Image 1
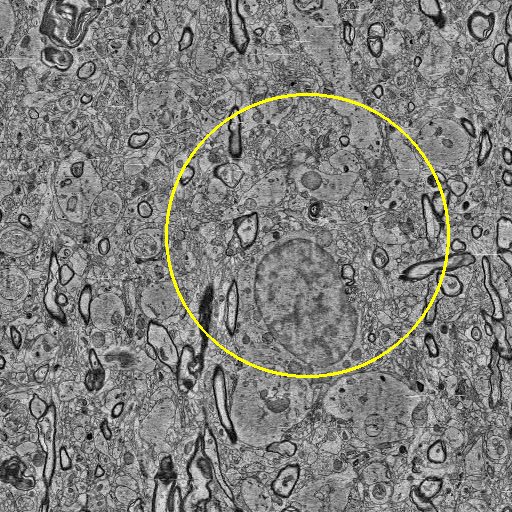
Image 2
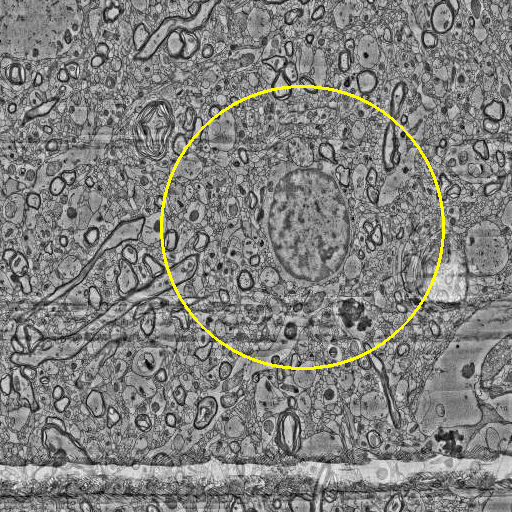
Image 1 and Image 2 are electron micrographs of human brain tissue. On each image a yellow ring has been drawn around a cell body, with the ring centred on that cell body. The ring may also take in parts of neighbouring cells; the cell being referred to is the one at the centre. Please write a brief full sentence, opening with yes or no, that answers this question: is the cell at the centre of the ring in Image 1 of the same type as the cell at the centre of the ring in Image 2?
Yes, both cells are of the same type.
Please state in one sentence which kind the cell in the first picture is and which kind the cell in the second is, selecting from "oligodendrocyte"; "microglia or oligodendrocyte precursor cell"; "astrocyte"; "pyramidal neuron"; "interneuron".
In both pictures the ring is centred on an oligodendrocyte.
